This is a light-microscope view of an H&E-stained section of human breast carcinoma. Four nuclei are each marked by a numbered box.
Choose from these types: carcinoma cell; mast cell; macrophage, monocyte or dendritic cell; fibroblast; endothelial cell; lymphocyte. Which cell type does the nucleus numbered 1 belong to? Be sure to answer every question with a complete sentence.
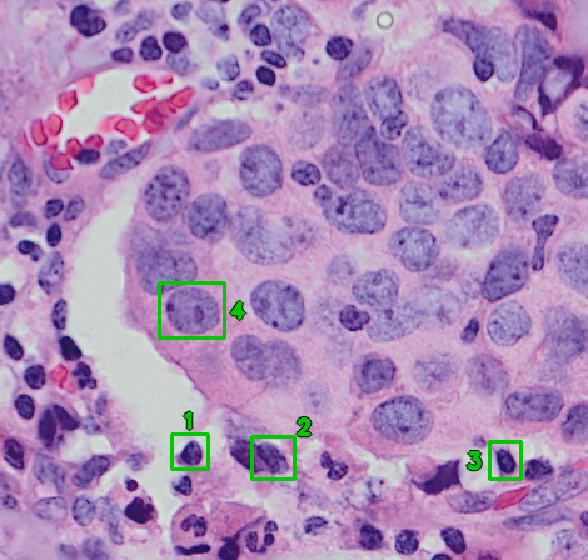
Marked with the number 1, this cell is a lymphocyte.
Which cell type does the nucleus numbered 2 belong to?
The expected answer is that cell 2 is a lymphocyte.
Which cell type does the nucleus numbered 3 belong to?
Identified as a lymphocyte is the cell bearing the number 3.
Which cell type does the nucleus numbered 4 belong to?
Number 4 is placed on a carcinoma cell here.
